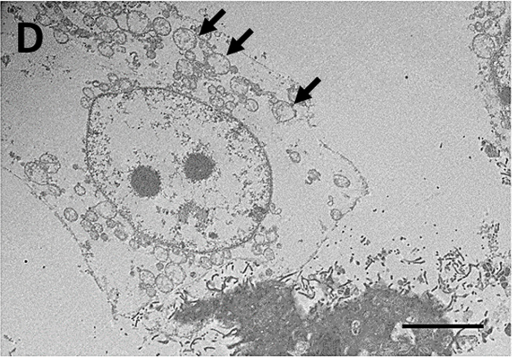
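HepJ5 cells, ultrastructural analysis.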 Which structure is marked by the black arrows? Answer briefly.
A: Vacuole-like structures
